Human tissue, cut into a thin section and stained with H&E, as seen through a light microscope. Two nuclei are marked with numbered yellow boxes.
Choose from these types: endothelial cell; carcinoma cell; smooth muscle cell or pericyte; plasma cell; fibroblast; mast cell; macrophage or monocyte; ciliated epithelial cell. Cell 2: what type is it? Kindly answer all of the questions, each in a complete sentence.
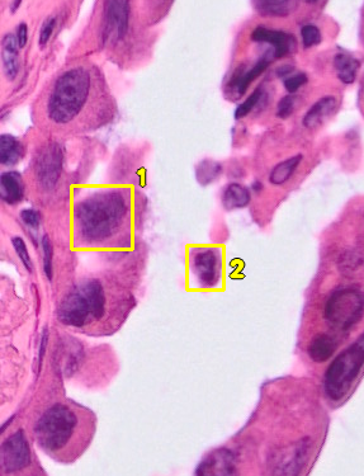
The one labeled 2 is a macrophage or monocyte, to put it simply.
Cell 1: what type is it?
Cell 1 is classified as a carcinoma cell.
